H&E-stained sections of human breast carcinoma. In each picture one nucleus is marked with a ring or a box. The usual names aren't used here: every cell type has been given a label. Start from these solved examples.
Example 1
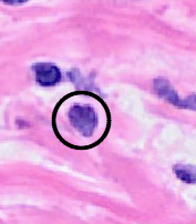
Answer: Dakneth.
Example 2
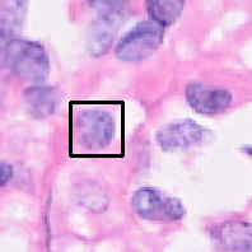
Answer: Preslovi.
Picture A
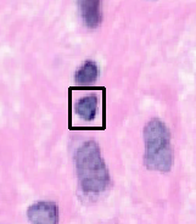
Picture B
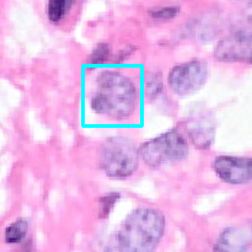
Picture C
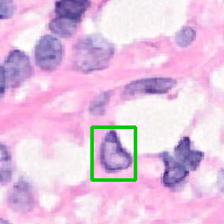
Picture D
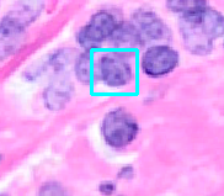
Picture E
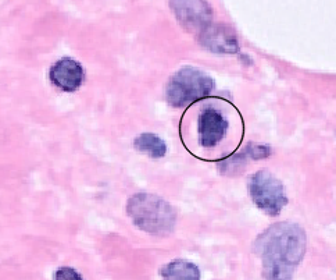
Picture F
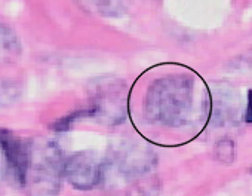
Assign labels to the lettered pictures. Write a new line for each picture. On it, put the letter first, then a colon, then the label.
A: Dakneth.
B: Preslovi.
C: Preslovi.
D: Preslovi.
E: Dakneth.
F: Preslovi.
